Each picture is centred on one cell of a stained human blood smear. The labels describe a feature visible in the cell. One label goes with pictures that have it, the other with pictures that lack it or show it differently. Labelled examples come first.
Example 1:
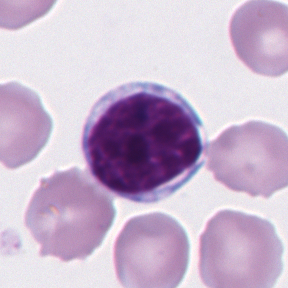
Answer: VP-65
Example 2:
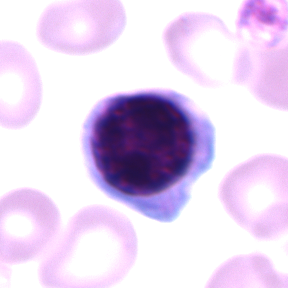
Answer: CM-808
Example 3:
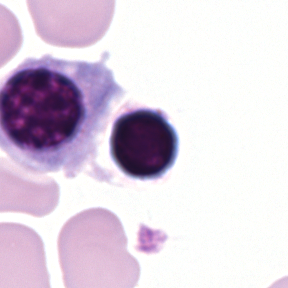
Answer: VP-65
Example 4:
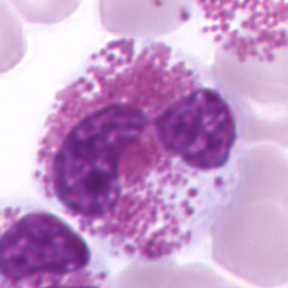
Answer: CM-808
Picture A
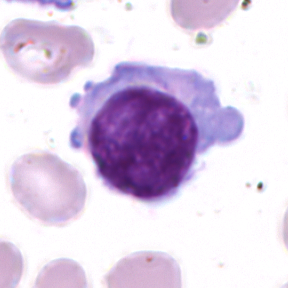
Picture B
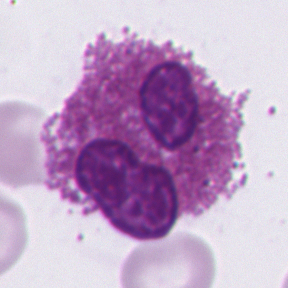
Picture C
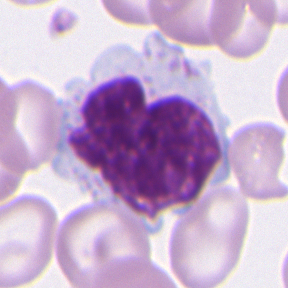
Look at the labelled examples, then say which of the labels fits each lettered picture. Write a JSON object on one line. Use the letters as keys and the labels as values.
{"A": "CM-808", "B": "CM-808", "C": "CM-808"}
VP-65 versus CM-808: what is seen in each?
In VP-65: smooth outline. In CM-808: ragged outline or projections.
